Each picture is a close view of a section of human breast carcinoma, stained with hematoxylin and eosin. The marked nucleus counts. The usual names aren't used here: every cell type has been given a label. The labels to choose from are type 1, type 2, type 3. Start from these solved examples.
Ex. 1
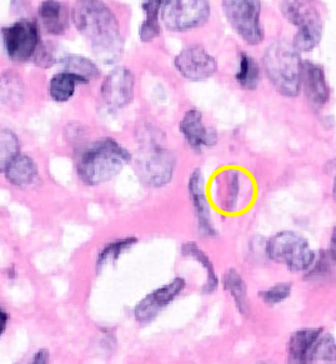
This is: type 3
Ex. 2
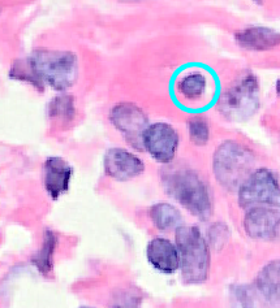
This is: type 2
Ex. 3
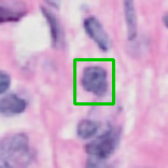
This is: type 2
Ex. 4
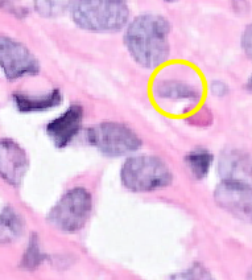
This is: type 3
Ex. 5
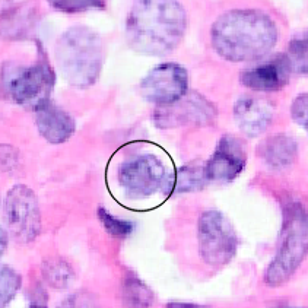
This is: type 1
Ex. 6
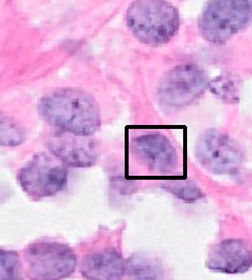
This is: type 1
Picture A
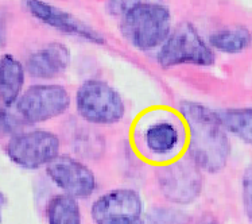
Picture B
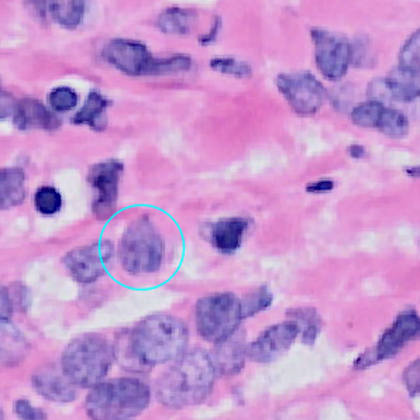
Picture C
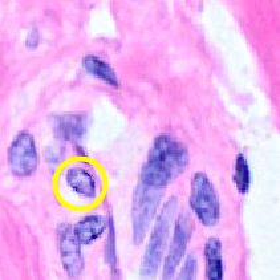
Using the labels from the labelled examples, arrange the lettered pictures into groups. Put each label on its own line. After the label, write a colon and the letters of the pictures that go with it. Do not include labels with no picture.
type 1: B
type 2: A
type 3: C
